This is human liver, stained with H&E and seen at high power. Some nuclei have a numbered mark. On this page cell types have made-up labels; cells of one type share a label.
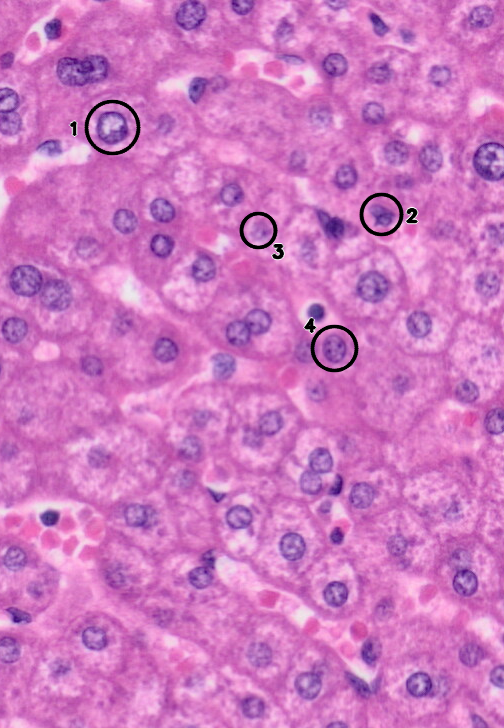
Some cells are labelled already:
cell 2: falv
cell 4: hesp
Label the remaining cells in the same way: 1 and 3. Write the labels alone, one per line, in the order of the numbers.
hesp
hesp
